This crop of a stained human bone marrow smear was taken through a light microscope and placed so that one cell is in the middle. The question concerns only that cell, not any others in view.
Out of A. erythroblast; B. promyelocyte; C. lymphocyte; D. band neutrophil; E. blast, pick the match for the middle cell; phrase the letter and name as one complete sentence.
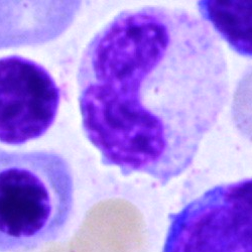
That the central cell is a band neutrophil makes option D correct.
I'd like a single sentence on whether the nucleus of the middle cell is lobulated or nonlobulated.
What stands out is a nucleus forming one compact round, oval or kidney-shaped mass.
